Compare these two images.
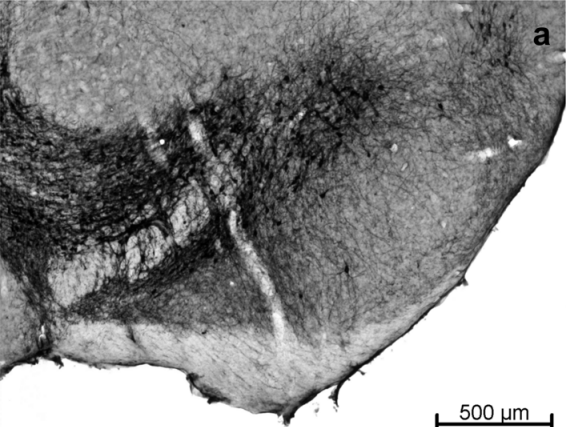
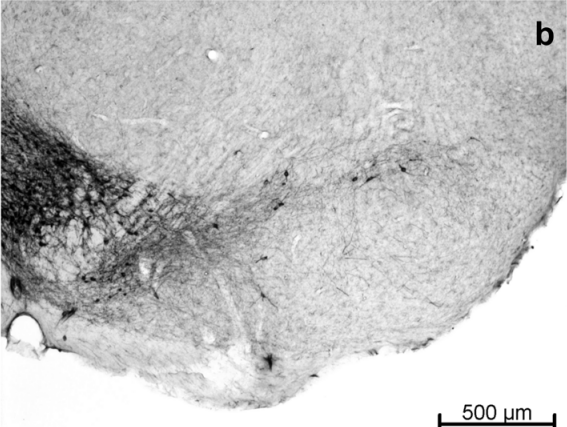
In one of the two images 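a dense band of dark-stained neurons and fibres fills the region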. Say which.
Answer: The first image.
